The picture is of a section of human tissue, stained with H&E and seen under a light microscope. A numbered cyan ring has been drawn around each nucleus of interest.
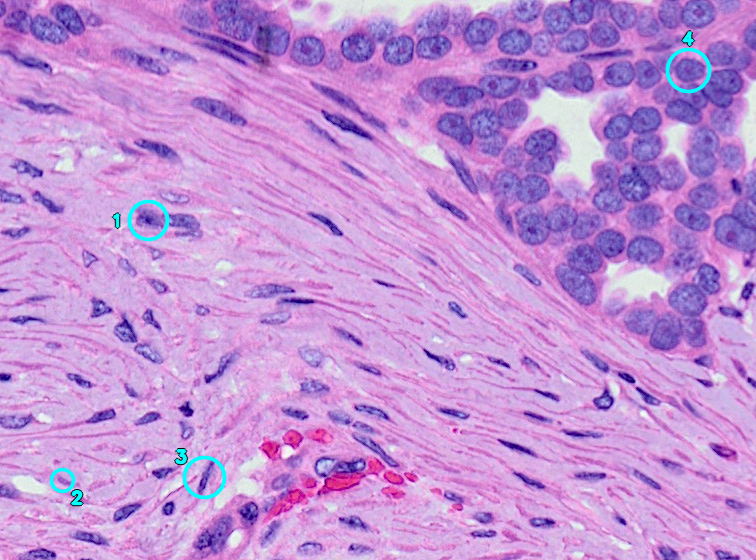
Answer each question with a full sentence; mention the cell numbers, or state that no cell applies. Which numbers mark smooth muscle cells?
No smooth muscle cells are present among the cells marked with numbers.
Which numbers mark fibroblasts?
The cells given the numbers 1, 2 and 3 are fibroblasts.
